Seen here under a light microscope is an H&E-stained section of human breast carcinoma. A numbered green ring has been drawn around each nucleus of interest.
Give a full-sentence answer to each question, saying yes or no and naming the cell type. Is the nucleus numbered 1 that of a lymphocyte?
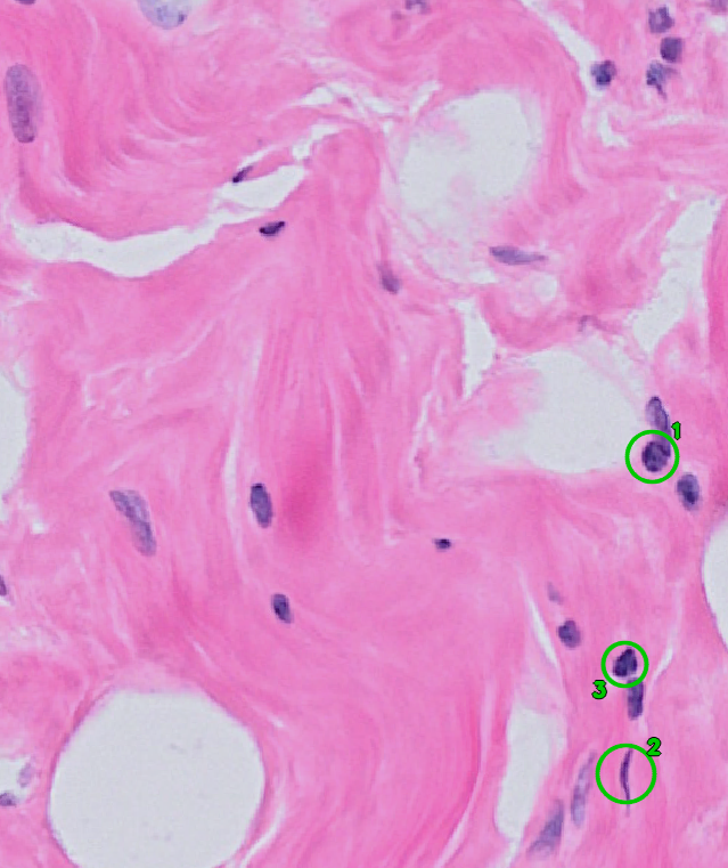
Yes, the marked cell number 1 is a lymphocyte.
